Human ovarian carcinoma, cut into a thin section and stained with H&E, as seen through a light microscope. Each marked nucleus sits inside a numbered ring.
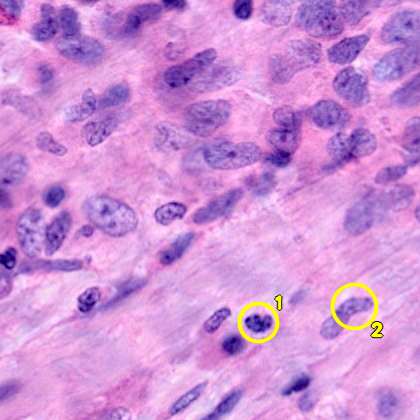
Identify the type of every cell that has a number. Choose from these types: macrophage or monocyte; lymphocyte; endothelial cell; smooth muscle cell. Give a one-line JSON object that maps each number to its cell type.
{"1": "lymphocyte", "2": "macrophage or monocyte"}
